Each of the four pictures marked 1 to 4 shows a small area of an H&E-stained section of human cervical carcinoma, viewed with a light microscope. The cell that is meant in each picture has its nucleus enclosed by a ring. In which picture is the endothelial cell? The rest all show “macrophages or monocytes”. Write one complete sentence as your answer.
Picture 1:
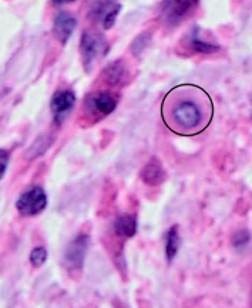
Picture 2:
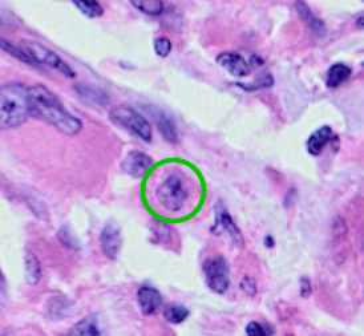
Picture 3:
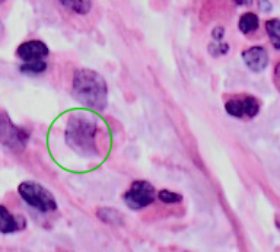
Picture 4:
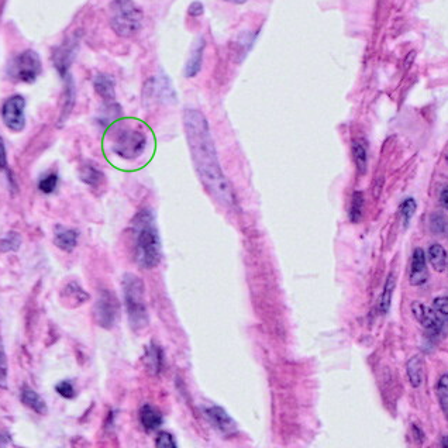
The picture with the endothelial cell is 1.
